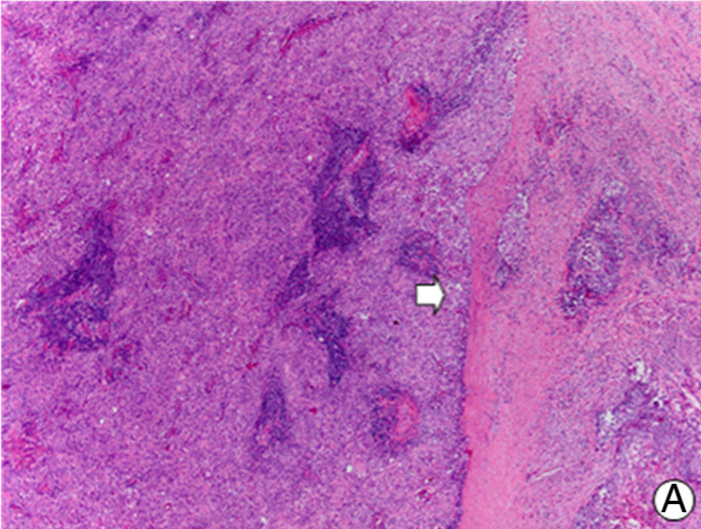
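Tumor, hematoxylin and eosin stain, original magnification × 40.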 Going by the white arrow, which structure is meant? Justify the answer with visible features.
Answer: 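Fibrous bands. The arrow points at a broad, pale pink, sparsely cellular band running from top to bottom.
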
